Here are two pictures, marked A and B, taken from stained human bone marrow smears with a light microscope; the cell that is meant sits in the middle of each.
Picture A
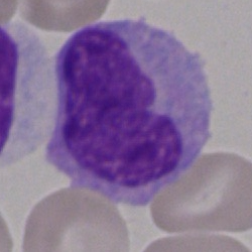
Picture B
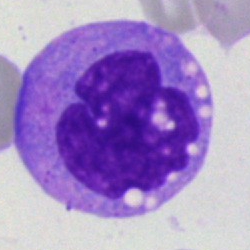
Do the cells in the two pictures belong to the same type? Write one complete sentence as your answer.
Yes, they are the same type: both are monocytes.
